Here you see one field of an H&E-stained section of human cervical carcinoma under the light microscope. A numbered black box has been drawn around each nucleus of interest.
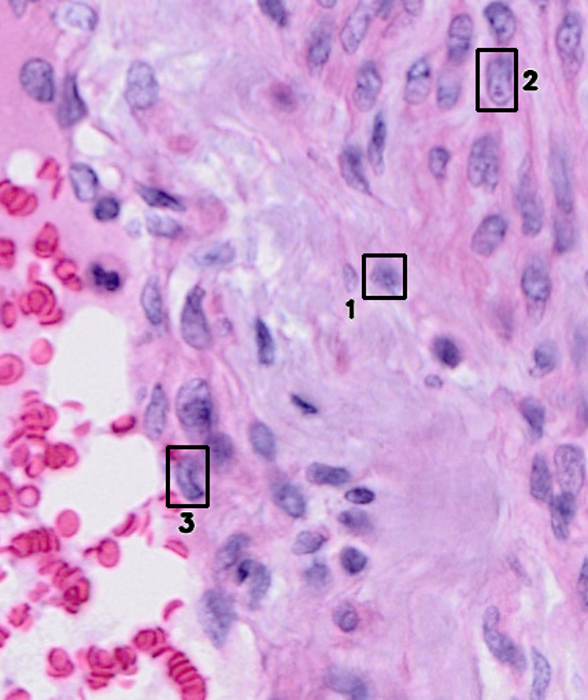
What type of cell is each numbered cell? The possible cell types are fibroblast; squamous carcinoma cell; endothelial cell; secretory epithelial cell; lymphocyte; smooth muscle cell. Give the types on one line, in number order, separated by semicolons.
fibroblast; smooth muscle cell; endothelial cell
